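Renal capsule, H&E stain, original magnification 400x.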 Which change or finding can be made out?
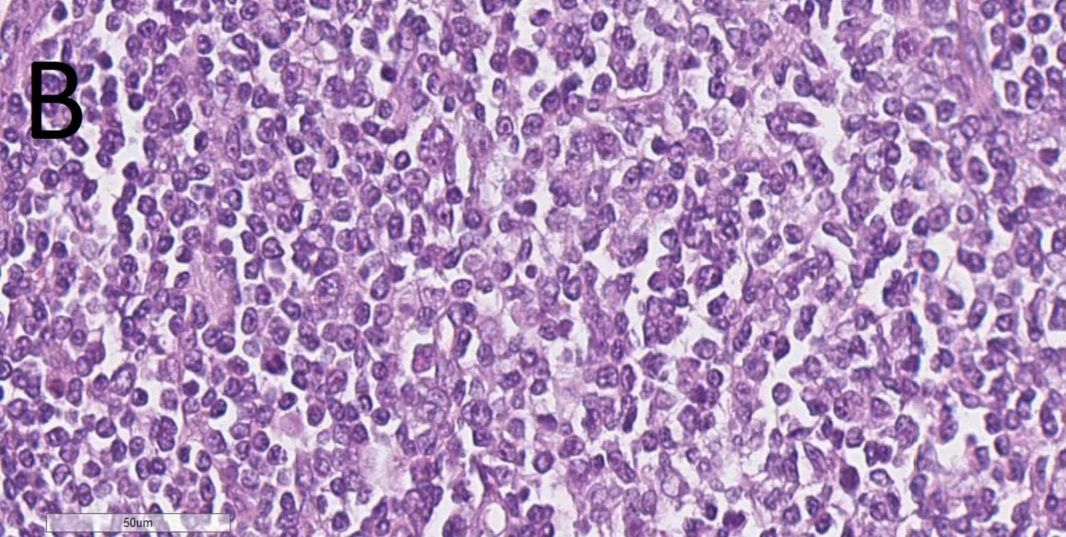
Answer: Lymphocytic proliferation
